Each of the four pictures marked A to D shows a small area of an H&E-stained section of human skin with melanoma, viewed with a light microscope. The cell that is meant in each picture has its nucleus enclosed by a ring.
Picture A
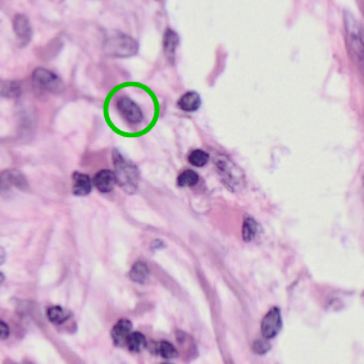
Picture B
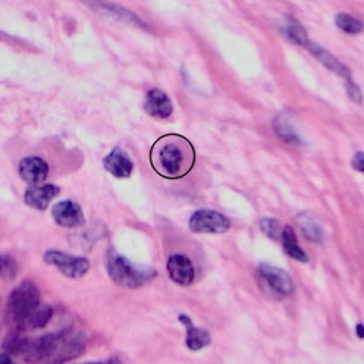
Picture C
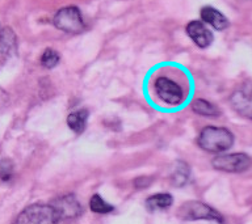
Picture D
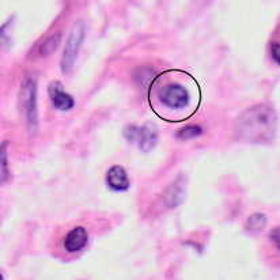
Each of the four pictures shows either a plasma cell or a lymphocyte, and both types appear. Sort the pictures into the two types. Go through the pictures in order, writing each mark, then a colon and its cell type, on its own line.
A: plasma cell
B: plasma cell
C: plasma cell
D: lymphocyte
